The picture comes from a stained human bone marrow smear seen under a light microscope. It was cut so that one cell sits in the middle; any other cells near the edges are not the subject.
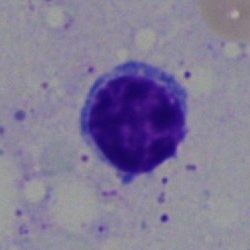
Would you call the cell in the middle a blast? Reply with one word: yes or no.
no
